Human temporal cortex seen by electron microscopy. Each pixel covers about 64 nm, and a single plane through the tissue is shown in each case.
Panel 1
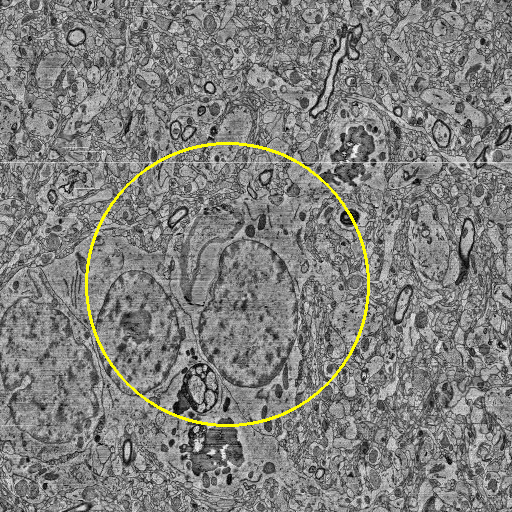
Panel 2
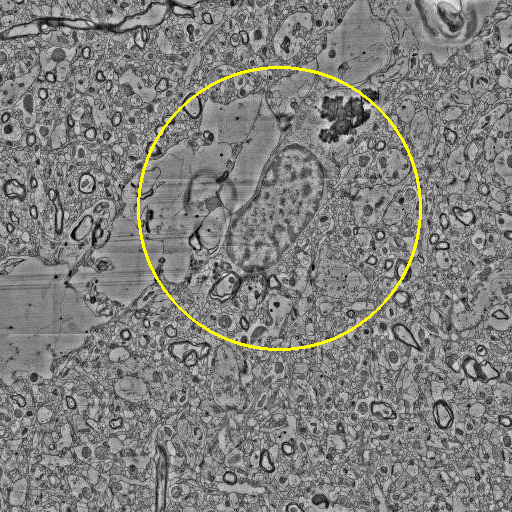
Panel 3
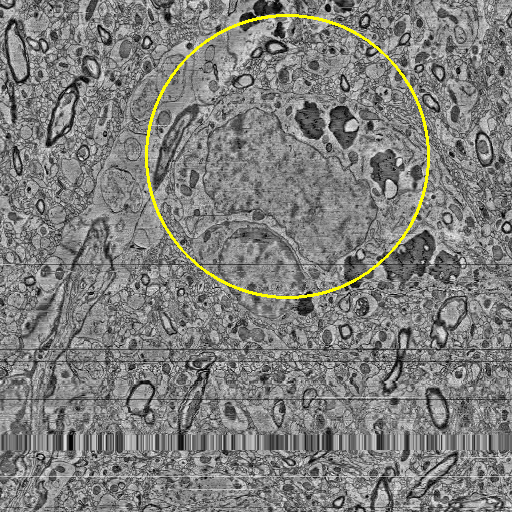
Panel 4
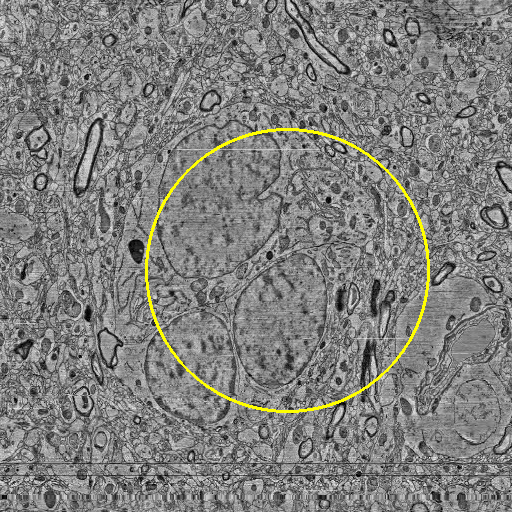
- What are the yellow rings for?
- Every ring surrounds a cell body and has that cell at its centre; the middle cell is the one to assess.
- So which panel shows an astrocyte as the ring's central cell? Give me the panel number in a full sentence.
The panel whose ring is centred on the cell in question is panel 1.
